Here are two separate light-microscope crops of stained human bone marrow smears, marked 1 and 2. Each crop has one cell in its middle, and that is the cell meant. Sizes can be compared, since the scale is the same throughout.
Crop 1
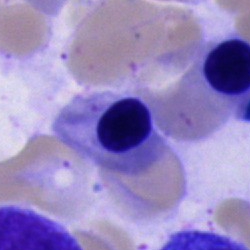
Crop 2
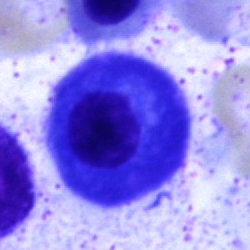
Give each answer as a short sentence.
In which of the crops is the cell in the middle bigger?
Crop 2 holds the larger cell; it covers about 4 times the area of the cell in crop 1.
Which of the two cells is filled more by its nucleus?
In crop 1 the nucleus takes up the larger part of its cell.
